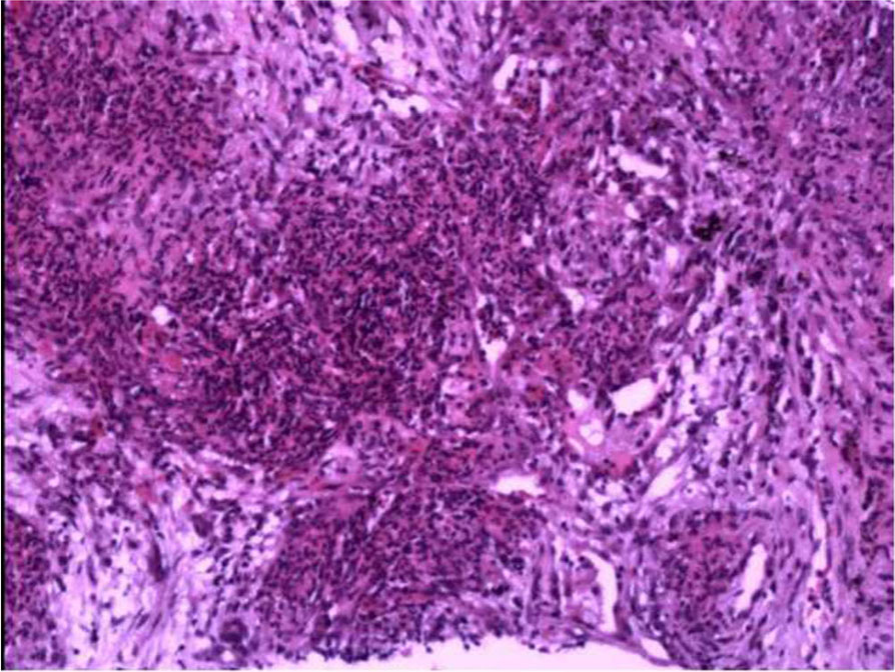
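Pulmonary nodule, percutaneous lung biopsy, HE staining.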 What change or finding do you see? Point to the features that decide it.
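Inflammatory cell infiltration. Dense sheets of small, round, dark-staining nuclei crowd large parts of the field. These crowded cells lie among paler pink fibrous tissue with spindle-shaped nuclei.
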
